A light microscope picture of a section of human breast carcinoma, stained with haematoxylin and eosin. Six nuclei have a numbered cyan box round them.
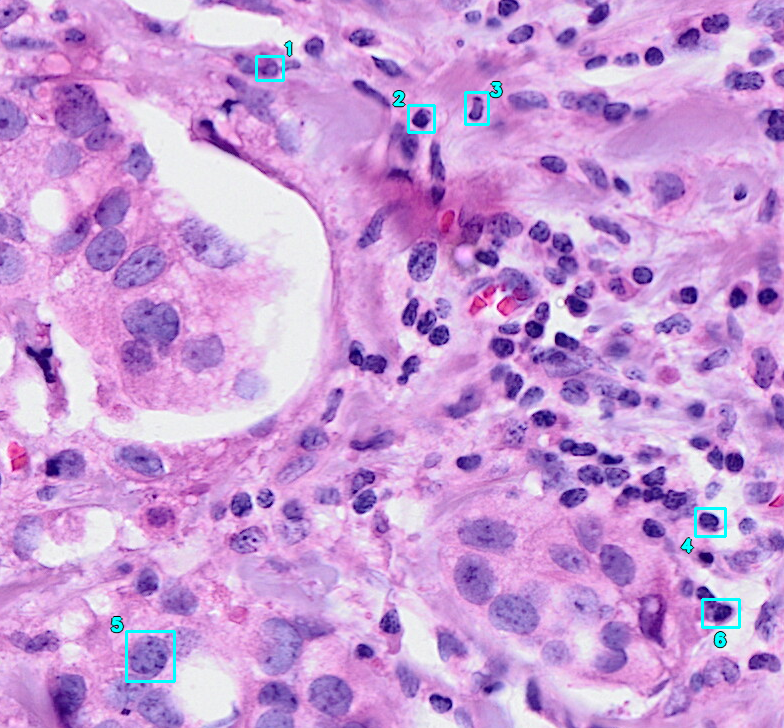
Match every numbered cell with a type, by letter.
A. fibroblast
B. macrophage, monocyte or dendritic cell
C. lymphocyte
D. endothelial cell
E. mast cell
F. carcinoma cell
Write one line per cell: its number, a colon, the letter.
1: D
2: C
3: C
4: C
5: F
6: C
